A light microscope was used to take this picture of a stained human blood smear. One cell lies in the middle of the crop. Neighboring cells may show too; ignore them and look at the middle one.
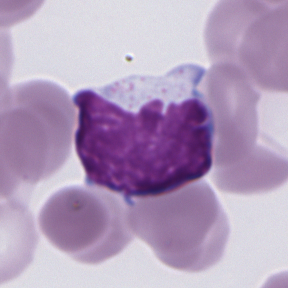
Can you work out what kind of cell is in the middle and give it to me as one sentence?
In the middle of this smear crop is a large granular lymphocyte.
